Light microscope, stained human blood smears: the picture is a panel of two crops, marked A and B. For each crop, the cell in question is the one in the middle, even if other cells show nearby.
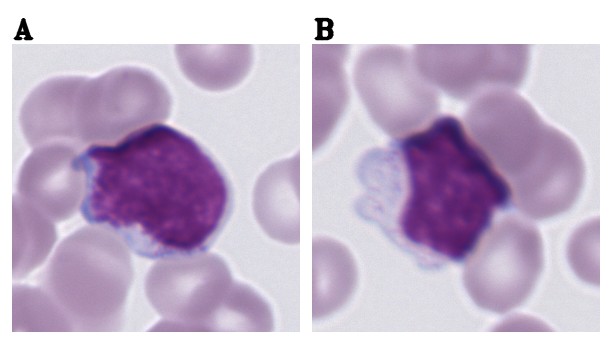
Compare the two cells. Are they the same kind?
yes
